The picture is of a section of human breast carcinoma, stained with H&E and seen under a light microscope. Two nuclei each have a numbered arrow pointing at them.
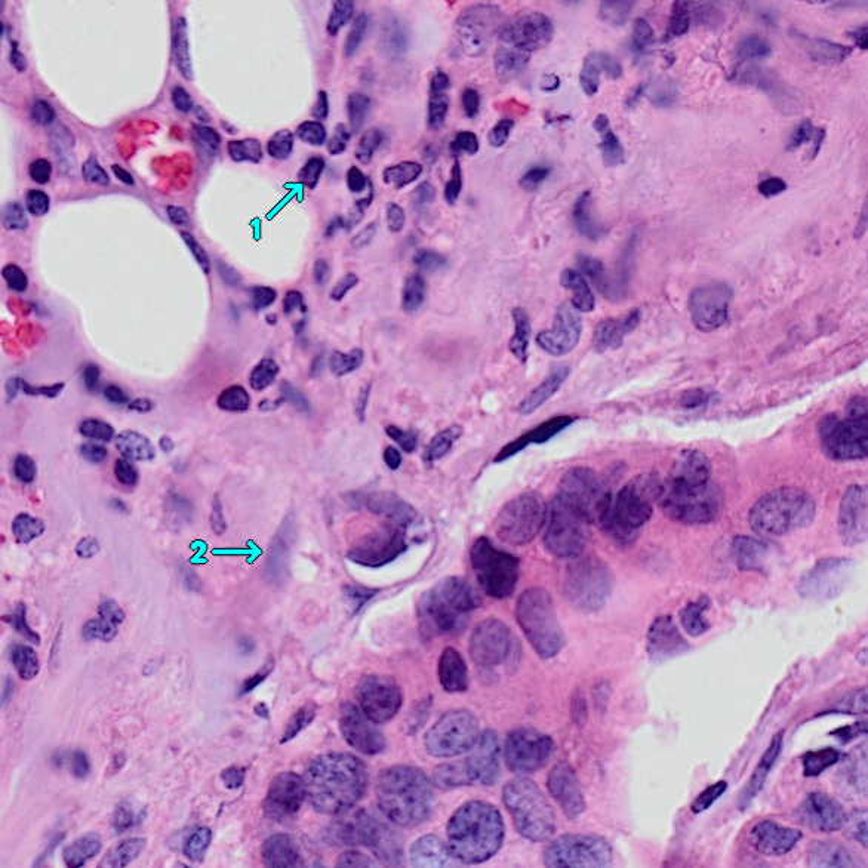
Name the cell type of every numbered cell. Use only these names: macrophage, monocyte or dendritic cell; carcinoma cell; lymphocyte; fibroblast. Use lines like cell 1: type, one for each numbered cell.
cell 1: lymphocyte
cell 2: fibroblast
